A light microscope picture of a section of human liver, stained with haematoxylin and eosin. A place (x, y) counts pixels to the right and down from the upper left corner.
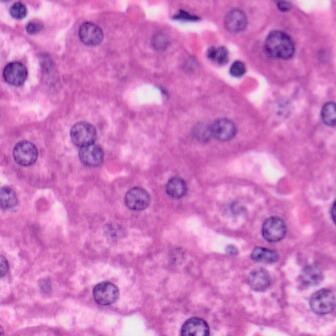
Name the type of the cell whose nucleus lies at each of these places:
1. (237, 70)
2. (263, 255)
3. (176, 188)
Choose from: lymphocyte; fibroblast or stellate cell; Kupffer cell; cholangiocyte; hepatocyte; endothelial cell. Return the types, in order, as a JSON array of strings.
["lymphocyte", "fibroblast or stellate cell", "hepatocyte"]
